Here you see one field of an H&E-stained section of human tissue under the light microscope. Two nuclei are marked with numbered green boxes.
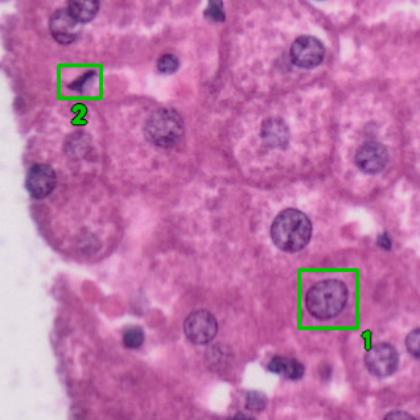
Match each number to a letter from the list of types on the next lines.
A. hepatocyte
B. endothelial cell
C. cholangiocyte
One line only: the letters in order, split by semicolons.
A; B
